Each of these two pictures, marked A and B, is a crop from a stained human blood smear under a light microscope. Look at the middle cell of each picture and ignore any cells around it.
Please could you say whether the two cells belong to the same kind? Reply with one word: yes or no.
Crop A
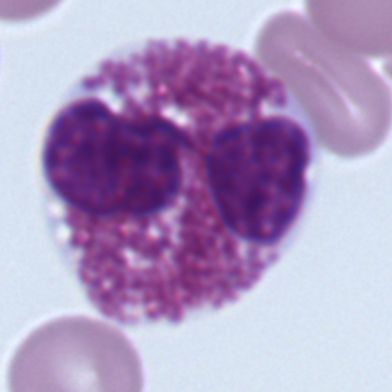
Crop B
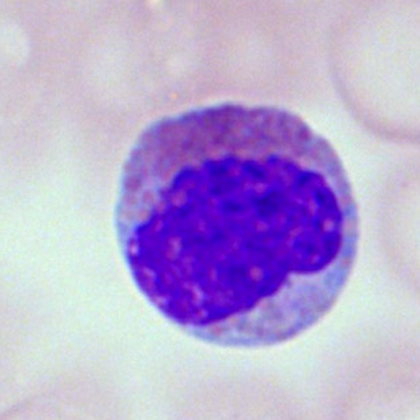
yes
